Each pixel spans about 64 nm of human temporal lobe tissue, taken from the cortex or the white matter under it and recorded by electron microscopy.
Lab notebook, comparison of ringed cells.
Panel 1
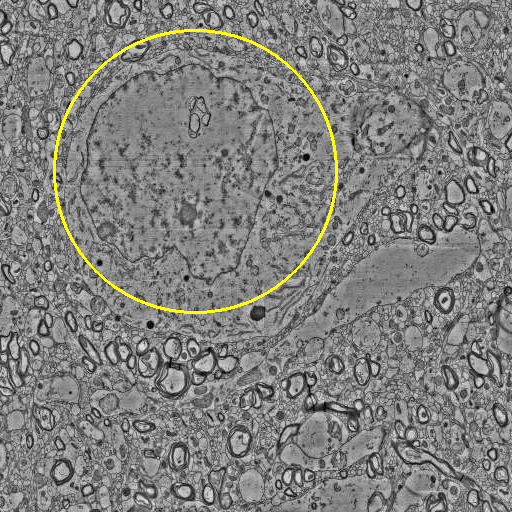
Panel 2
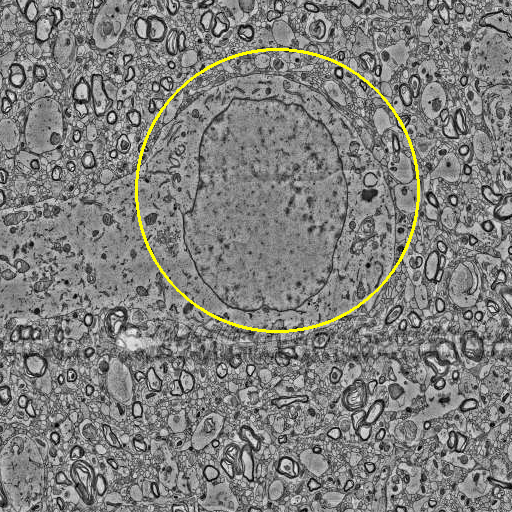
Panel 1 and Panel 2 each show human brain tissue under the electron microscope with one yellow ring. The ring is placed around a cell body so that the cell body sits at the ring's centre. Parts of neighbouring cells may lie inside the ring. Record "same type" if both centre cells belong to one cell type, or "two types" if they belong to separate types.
same type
